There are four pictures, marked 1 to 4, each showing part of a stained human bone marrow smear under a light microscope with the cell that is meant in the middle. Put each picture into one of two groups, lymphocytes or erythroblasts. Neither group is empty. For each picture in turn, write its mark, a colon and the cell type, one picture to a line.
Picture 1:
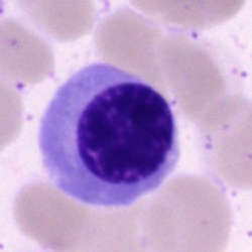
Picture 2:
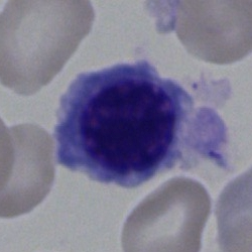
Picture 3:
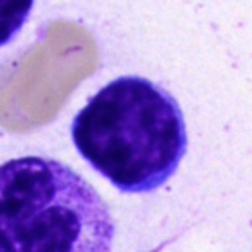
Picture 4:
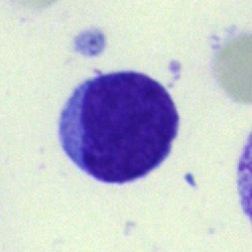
1: erythroblast
2: erythroblast
3: lymphocyte
4: lymphocyte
